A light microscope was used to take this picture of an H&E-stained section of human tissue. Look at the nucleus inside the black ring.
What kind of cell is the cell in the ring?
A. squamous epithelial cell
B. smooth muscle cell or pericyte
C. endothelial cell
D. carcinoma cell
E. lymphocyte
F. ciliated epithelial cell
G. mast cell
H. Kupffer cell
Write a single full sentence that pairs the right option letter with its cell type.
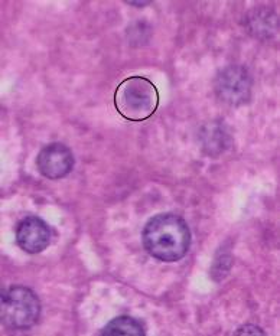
The choice that fits is option H, as the cell in the ring is a Kupffer cell.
